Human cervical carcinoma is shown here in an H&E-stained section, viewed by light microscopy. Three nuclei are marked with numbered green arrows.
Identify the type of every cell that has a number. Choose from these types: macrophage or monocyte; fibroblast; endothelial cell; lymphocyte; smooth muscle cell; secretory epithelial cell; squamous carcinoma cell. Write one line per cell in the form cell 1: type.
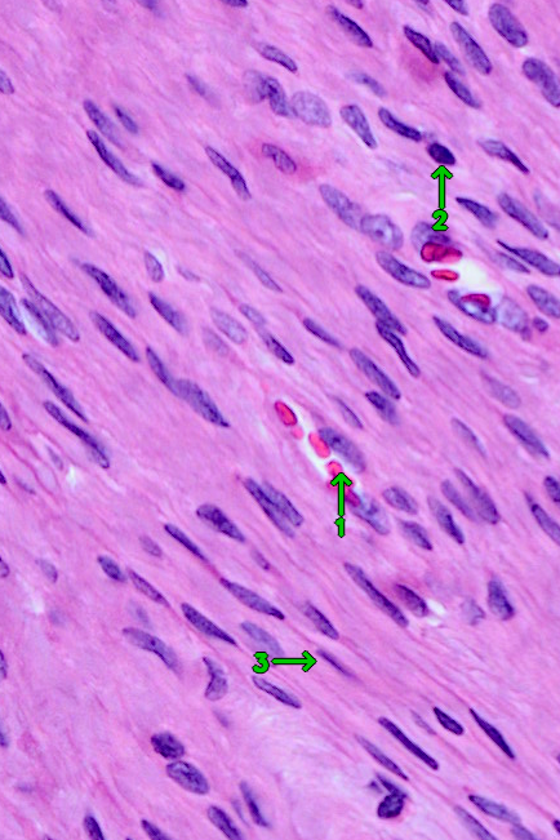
cell 1: endothelial cell
cell 2: lymphocyte
cell 3: fibroblast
